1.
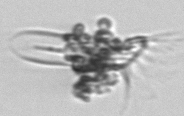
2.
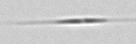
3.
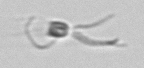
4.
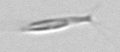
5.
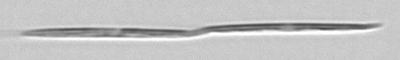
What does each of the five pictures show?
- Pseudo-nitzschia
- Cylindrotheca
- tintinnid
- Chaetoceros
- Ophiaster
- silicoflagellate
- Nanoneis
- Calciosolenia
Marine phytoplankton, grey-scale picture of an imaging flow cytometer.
1. tintinnid
2. Cylindrotheca
3. Ophiaster
4. Calciosolenia
5. Pseudo-nitzschia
